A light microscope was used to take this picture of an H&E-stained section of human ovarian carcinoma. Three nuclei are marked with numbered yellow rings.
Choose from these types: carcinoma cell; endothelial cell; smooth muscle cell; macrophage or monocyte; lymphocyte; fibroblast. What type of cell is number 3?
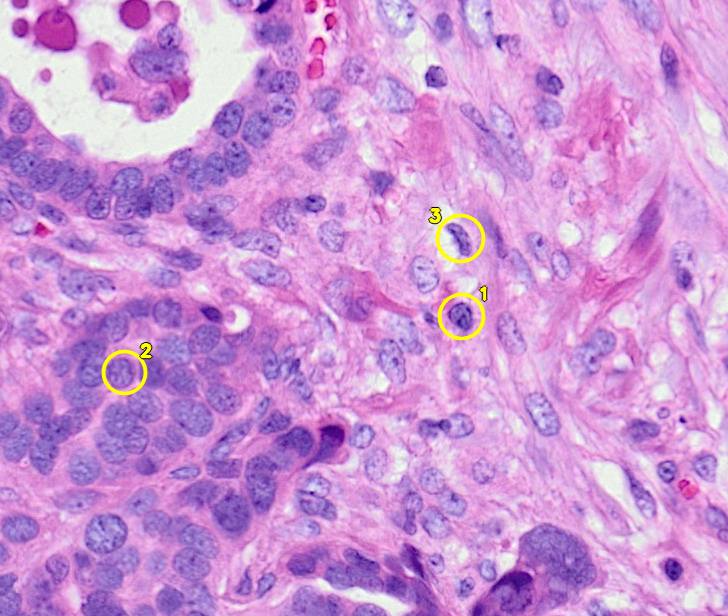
macrophage or monocyte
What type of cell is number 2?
carcinoma cell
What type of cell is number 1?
macrophage or monocyte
